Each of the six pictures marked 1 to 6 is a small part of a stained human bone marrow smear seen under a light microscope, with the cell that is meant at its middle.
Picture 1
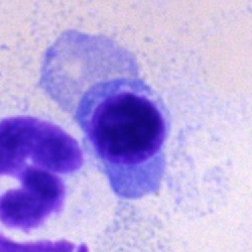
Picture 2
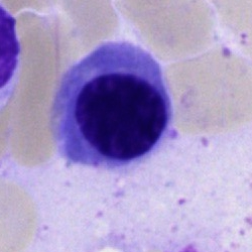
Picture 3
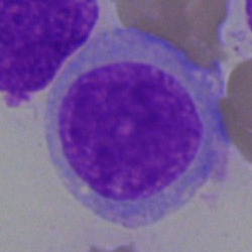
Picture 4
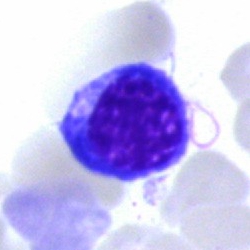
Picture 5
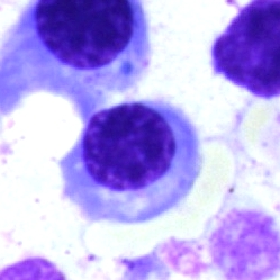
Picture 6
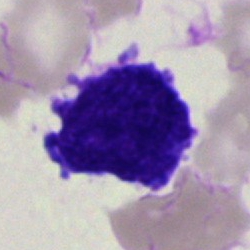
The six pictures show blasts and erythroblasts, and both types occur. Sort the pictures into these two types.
1: erythroblast
2: erythroblast
3: blast
4: erythroblast
5: erythroblast
6: blast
